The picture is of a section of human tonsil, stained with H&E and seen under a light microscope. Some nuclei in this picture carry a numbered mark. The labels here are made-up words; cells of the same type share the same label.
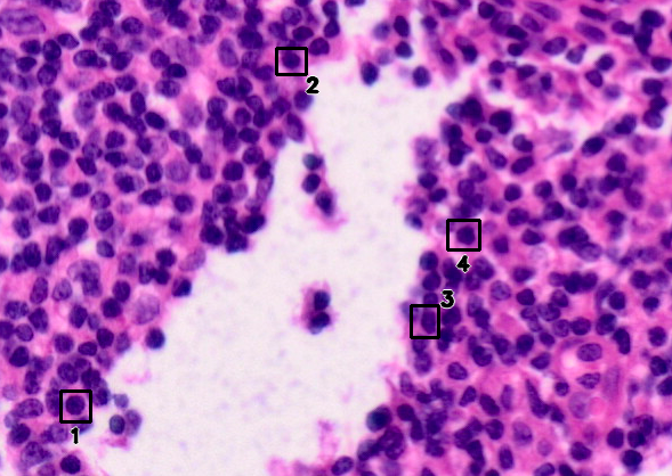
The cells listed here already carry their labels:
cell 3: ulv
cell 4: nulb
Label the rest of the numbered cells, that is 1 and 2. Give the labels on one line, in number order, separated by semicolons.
ulv; ulv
